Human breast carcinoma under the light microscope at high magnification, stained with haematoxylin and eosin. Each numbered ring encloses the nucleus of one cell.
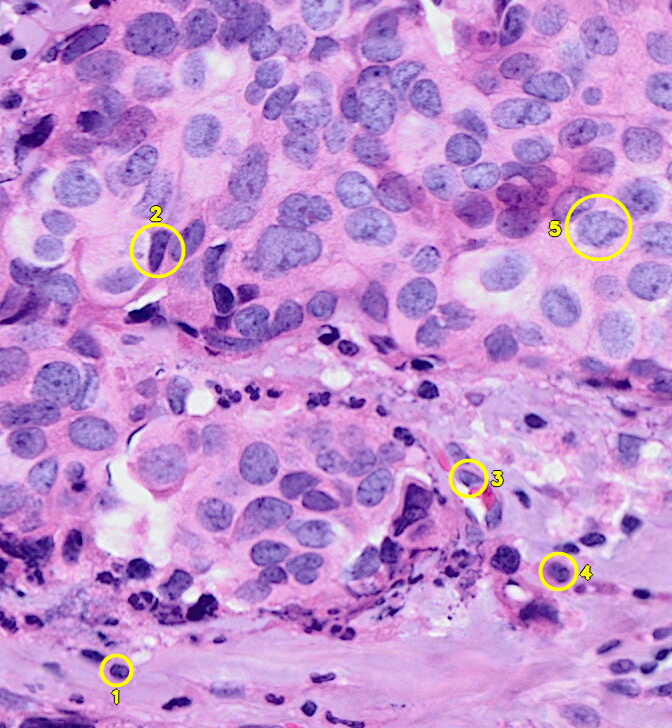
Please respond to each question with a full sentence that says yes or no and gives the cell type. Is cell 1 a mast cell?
Yes, in the section, number 1 is a mast cell.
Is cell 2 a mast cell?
No, cell 2 counts as a carcinoma cell rather than as a mast cell.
